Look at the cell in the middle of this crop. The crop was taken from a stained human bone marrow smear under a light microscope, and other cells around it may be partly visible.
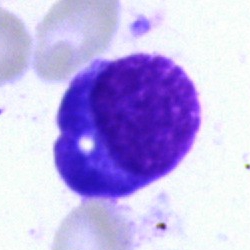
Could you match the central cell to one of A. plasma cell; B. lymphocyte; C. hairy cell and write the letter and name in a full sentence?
The best answer is option A, since the cell in the middle is a plasma cell.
